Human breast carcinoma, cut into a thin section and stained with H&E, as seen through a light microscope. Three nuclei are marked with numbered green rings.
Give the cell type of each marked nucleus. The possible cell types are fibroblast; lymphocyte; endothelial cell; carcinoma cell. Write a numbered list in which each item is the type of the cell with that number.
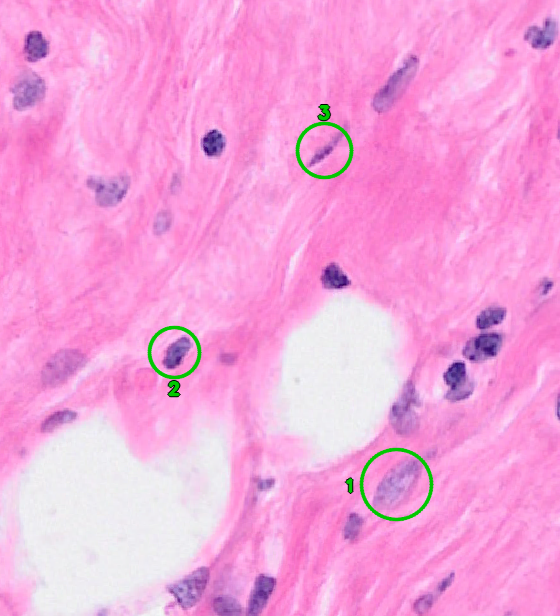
1. fibroblast
2. lymphocyte
3. fibroblast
